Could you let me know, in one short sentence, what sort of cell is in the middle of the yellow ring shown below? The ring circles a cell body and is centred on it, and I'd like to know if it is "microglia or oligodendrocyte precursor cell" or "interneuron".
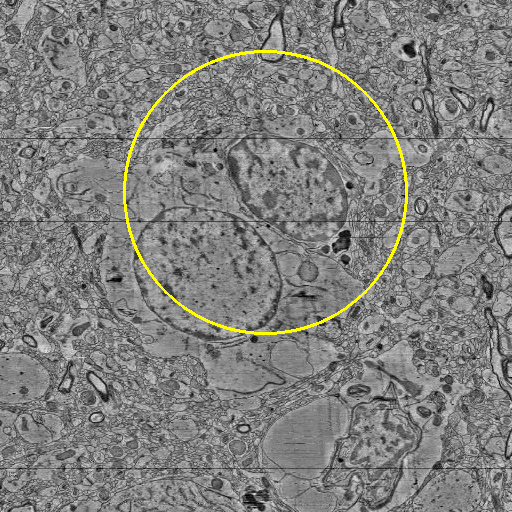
The ring circles the cell body of a microglial cell or oligodendrocyte precursor cell.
